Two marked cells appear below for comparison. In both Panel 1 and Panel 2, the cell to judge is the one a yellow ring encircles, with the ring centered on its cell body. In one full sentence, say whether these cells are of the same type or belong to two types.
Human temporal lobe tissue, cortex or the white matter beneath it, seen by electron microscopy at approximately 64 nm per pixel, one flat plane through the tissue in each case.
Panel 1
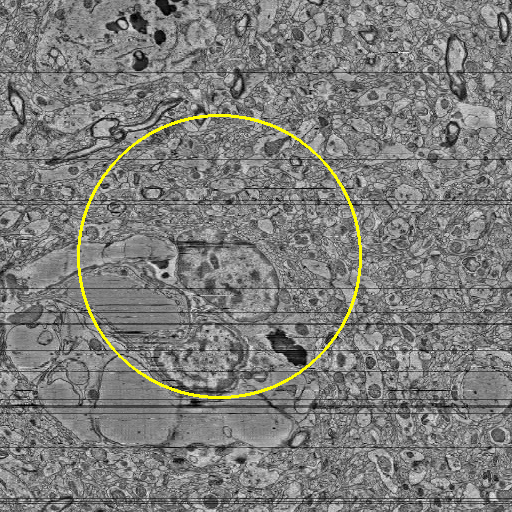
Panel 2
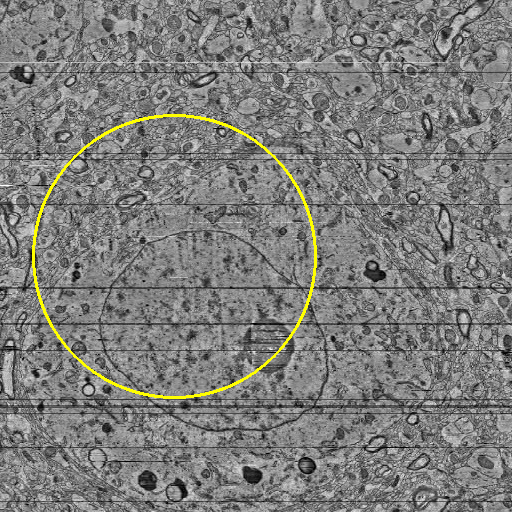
The cell centered in the Panel 1 ring and the one in Panel 2 belong to two types.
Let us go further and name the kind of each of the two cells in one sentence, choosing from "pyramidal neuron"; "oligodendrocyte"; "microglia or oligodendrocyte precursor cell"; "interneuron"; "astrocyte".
The ring of the first picture is on an oligodendrocyte, the ring of the second on a pyramidal neuron.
